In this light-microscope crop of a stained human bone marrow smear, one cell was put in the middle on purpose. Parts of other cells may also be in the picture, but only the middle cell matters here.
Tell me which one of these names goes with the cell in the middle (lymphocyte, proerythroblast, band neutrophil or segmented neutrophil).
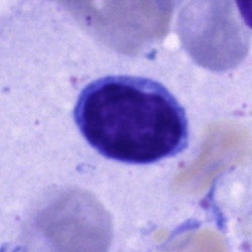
lymphocyte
